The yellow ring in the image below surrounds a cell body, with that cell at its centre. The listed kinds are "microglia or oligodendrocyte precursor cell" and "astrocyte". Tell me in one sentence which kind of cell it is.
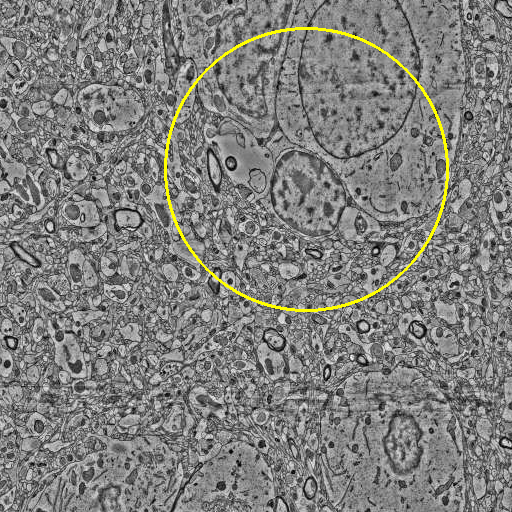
The centre of the ring holds a microglial cell or oligodendrocyte precursor cell.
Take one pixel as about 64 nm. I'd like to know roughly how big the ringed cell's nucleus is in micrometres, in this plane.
The ringed cell's nucleus measures approximately 6 by 5 micrometres in this plane.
